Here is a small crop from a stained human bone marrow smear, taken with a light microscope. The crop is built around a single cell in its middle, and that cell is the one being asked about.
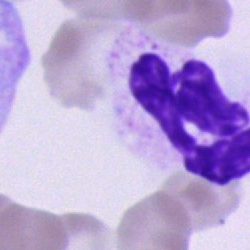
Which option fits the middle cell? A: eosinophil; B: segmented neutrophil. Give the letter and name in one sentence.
The cell in the middle is correctly identified as a segmented neutrophil in option B.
